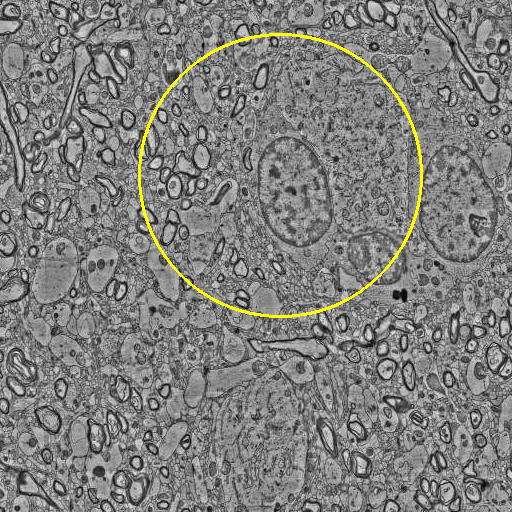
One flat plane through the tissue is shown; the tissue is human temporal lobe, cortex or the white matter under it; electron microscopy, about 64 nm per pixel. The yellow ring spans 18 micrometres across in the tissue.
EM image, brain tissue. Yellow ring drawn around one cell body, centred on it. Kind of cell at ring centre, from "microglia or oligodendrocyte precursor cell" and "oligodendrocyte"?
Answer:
oligodendrocyte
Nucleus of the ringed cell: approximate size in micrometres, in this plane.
Approximately 7 micrometres long and 5 micrometres wide, so clearly longer than it is wide in this plane.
